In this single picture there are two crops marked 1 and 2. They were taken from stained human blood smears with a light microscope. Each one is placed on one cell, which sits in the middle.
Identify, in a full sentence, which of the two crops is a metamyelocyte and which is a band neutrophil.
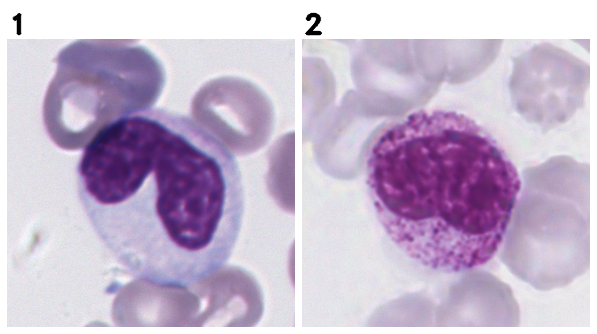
Crop 1 is a band neutrophil; crop 2, on the other hand, is a metamyelocyte.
